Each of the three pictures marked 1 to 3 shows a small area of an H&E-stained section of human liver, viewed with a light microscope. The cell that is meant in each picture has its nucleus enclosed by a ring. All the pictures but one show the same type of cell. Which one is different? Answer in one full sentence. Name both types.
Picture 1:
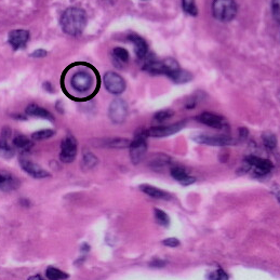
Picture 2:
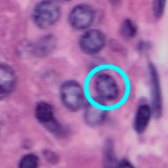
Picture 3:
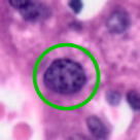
The different one is picture 3; it shows a hepatocyte, whereas all the others show cholangiocytes.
